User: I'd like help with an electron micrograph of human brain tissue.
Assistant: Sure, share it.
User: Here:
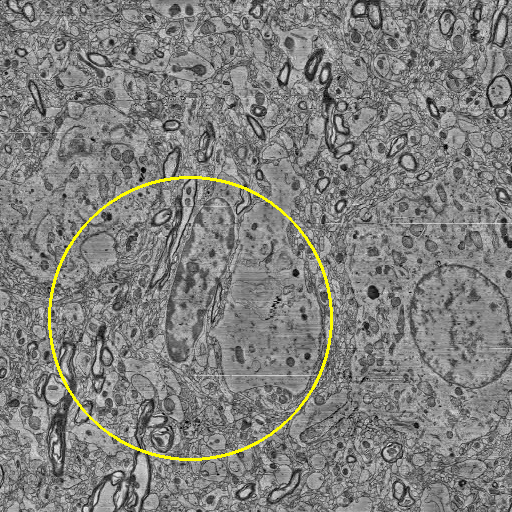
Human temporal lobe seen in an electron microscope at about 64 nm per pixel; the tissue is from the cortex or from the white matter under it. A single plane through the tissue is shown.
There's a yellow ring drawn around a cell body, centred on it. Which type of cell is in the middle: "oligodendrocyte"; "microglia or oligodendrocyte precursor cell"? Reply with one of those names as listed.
microglia or oligodendrocyte precursor cell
